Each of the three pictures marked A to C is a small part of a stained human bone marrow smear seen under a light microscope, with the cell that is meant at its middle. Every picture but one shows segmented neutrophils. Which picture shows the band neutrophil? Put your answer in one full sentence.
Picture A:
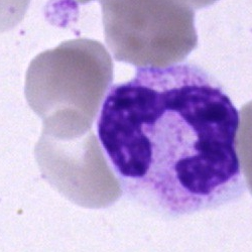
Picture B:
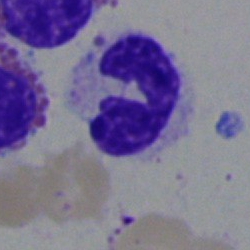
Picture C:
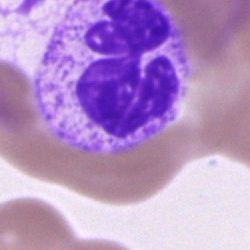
It is picture B that shows the band neutrophil.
